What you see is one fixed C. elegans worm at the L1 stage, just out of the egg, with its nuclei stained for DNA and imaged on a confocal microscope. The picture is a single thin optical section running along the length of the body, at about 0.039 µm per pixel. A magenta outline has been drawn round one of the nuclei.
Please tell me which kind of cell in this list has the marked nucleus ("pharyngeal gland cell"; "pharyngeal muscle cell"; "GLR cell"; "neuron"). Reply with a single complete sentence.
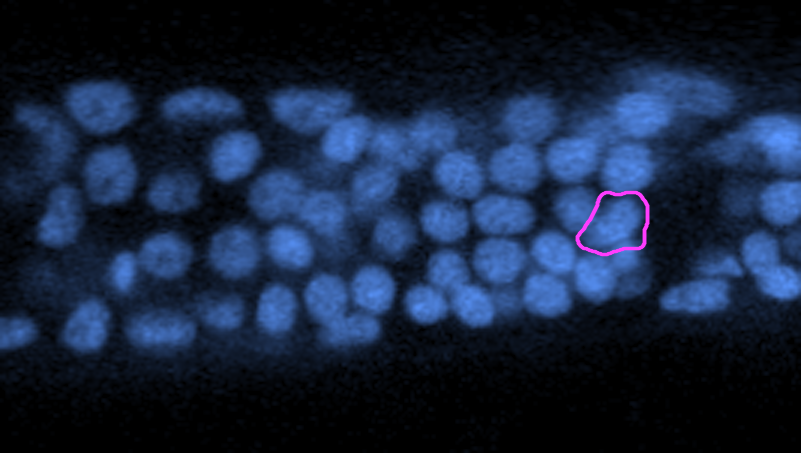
This is the nucleus of a GLR cell.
